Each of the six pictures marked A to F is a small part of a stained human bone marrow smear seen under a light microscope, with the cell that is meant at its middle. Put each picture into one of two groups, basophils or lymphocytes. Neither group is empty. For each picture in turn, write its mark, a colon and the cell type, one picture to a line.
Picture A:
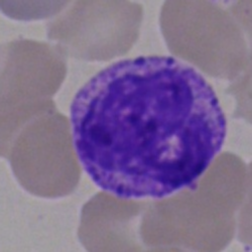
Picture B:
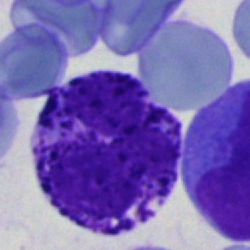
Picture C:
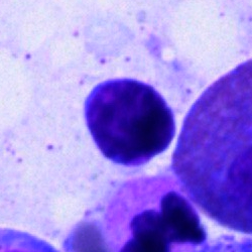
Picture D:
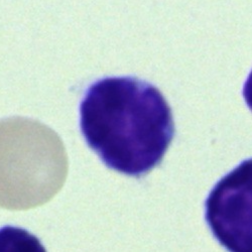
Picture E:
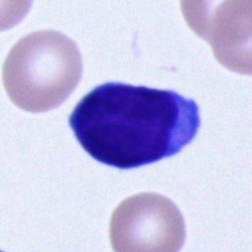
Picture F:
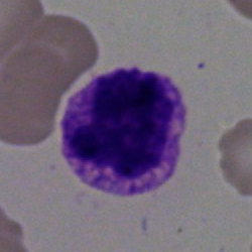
A: basophil
B: basophil
C: lymphocyte
D: lymphocyte
E: lymphocyte
F: basophil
